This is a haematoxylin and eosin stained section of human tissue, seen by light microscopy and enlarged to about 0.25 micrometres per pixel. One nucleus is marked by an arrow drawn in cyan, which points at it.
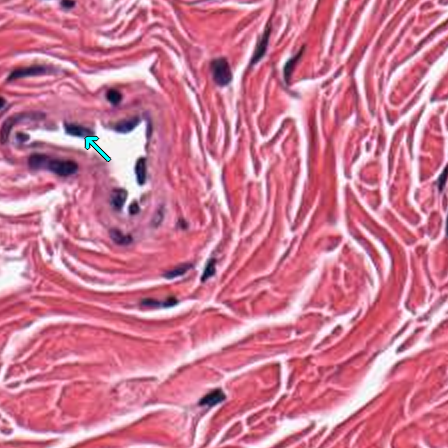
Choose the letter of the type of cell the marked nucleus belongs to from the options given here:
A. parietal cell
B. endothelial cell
B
